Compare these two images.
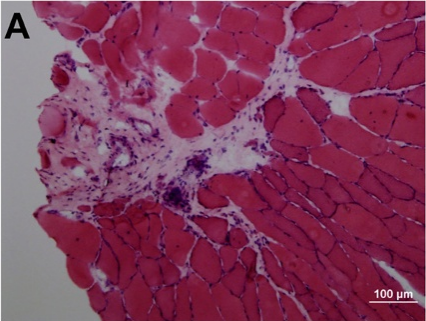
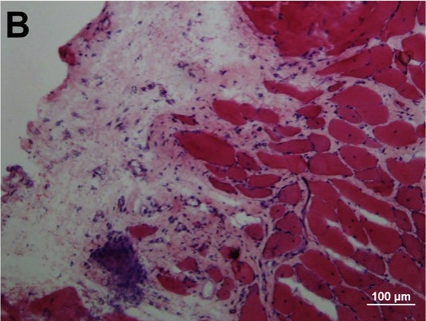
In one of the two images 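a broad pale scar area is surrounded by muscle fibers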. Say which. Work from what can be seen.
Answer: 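First image: muscle fibers come close together around a narrow pale strip of tissue. Second image: a wide pale area free of muscle fibers fills much of the upper left, bordered by red fibers.
Answer: the second image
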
